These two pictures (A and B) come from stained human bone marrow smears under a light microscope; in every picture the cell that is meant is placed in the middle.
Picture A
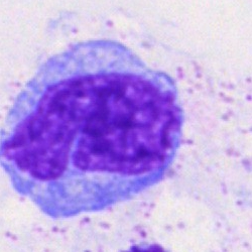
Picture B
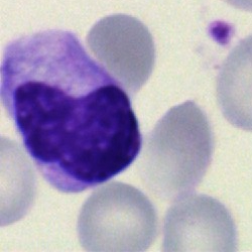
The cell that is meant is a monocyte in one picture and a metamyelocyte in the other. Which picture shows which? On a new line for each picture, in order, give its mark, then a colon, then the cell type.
A: monocyte
B: metamyelocyte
